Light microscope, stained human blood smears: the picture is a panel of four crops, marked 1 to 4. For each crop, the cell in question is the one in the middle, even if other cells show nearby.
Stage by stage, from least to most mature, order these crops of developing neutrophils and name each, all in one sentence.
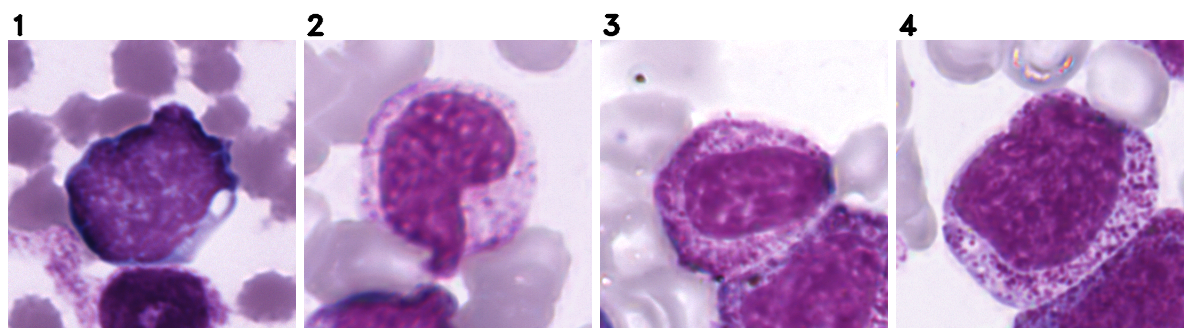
By increasing maturity, the cells should be ordered crop 1 (a myeloblast), crop 4 (a promyelocyte), crop 3 (a myelocyte) and crop 2 (a band neutrophil).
